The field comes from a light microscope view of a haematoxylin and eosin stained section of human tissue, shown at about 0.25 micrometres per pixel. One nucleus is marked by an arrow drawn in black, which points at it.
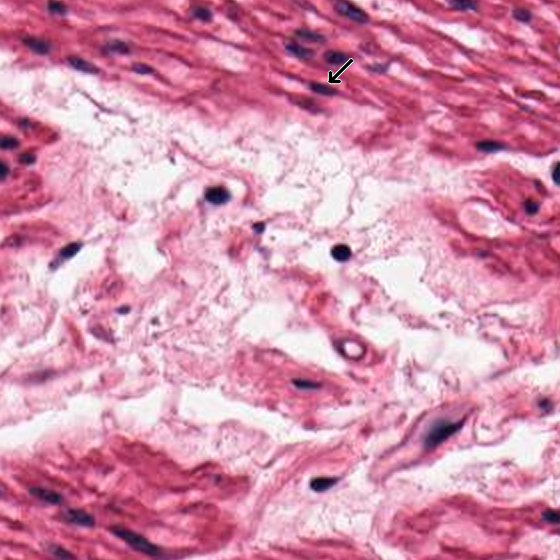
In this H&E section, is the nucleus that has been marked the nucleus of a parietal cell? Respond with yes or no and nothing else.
no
